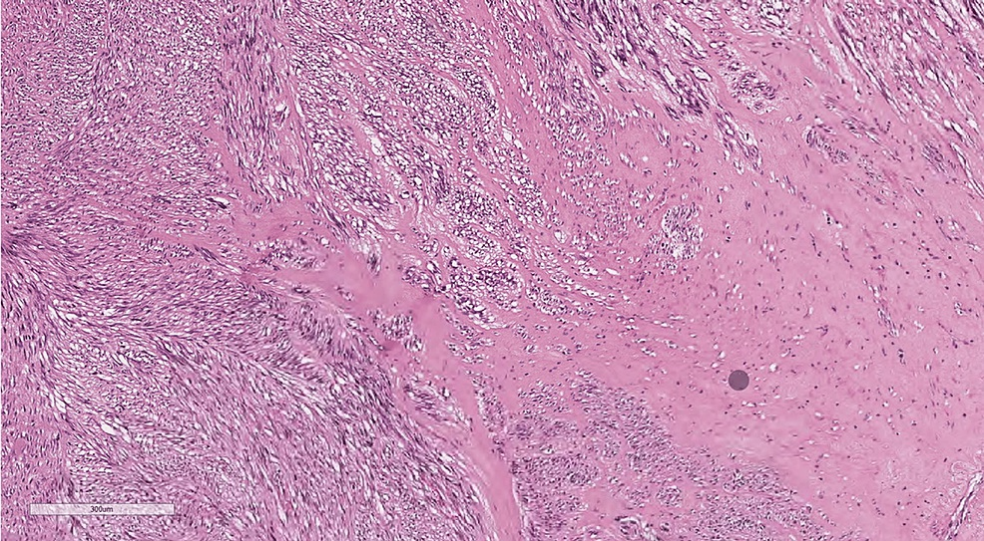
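Tumor made of spindle cells with elongated nuclei and pink cytoplasm. The cells form fascicles that run in different directions across the left and upper parts of the field. In the middle there are small clusters of cells with paler, vacuolated-looking cytoplasm. On the right, a broad band of pale pink, collagen-rich stroma holds only scattered small nuclei.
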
